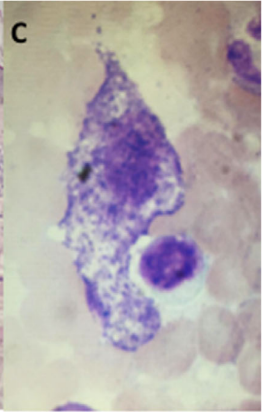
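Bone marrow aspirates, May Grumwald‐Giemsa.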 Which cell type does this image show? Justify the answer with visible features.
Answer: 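Mast cells. A large cell with abundant purple granular cytoplasm. A smaller round cell lies beside it.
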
